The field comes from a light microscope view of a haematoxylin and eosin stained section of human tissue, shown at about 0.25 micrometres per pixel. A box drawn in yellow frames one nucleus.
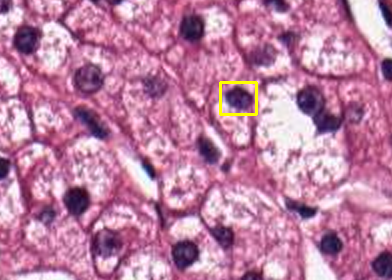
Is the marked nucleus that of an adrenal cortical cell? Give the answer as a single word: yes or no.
yes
